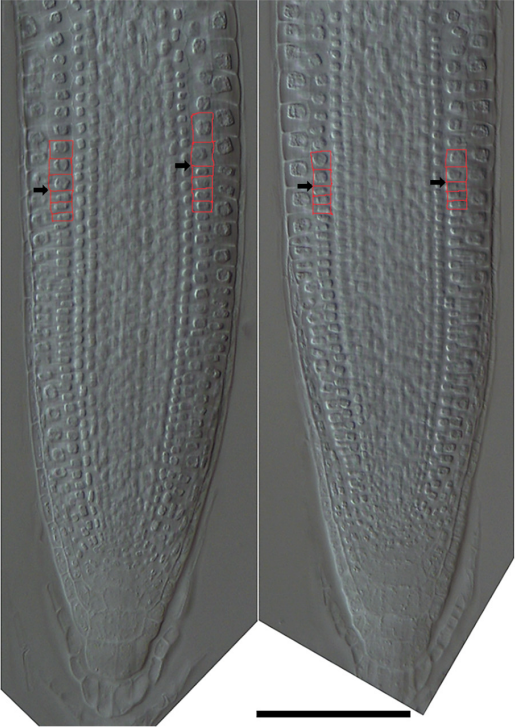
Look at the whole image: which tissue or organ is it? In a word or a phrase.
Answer: Root tips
